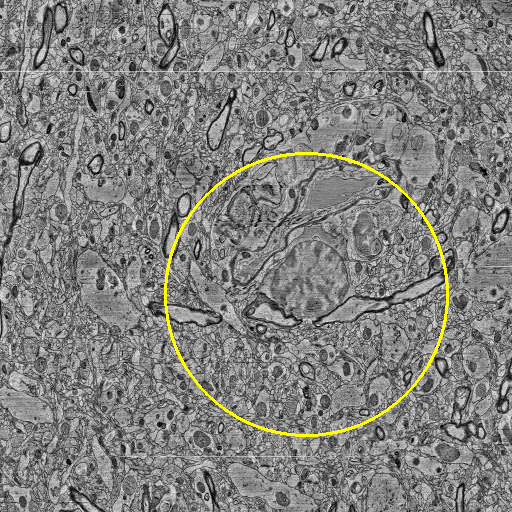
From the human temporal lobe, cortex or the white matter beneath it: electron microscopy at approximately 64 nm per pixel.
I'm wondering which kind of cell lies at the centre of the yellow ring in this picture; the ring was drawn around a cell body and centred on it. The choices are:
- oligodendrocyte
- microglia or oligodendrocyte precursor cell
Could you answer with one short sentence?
At the centre of the ring lies an oligodendrocyte.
